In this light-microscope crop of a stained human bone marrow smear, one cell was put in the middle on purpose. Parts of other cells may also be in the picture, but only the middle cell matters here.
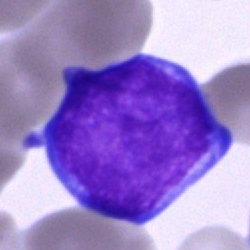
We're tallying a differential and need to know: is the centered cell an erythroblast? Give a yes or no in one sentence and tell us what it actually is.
No, calling it an erythroblast is wrong; the middle cell is a blast.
